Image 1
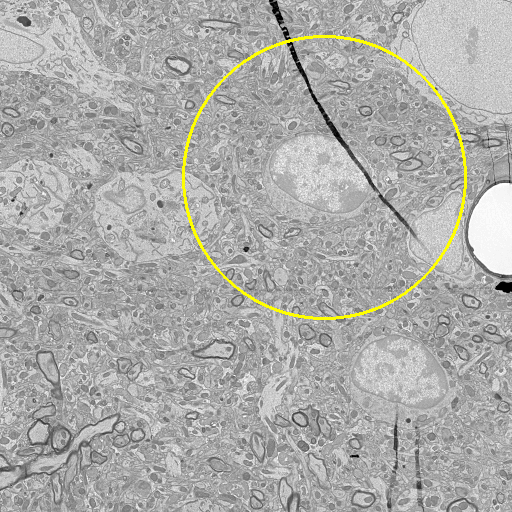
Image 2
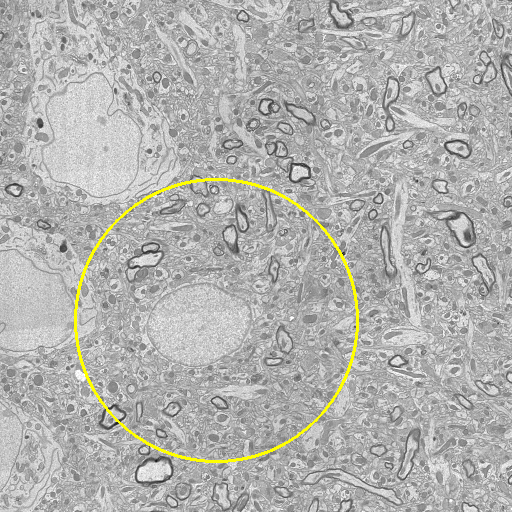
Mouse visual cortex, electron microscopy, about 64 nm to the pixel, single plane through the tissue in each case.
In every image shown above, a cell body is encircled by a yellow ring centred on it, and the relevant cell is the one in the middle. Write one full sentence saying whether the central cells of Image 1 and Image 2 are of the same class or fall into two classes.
The cell at the ring's centre in Image 1 and its counterpart in Image 2 fall into two classes.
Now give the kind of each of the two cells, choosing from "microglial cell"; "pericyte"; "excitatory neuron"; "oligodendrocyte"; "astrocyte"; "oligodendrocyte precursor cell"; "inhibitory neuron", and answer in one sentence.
The cell in the first picture is an oligodendrocyte, and the cell in the second is an astrocyte.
